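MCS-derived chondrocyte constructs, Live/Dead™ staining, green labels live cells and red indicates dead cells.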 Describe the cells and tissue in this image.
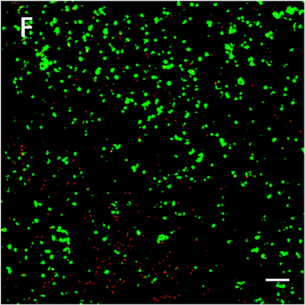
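Rounded green cells are spread through the field, more densely in its upper part. Small red points are scattered among them and are more numerous toward the lower edge.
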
